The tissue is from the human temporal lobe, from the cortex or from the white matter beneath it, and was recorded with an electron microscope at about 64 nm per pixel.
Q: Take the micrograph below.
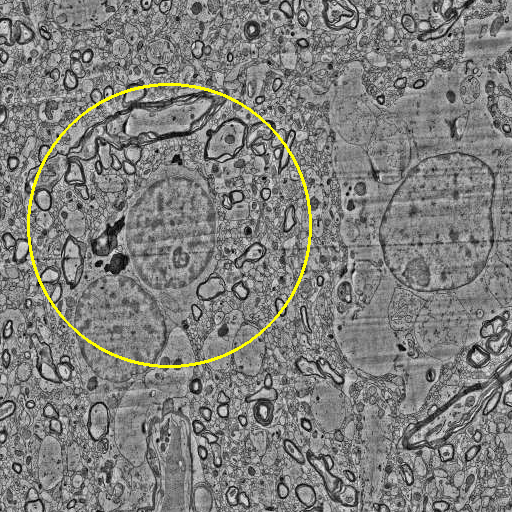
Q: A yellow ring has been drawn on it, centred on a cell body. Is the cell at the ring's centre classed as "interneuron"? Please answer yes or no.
No, its kind is another one.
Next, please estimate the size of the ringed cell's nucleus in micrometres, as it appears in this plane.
In this plane, about 7 micrometres in length and 6 in width.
